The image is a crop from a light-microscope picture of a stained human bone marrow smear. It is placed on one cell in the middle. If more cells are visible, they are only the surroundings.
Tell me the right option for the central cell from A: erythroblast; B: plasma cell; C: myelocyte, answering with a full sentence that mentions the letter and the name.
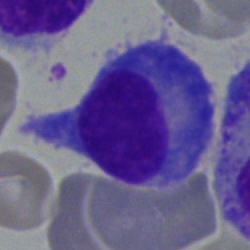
The central cell in this crop is a plasma cell, corresponding to option B, the correct option.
